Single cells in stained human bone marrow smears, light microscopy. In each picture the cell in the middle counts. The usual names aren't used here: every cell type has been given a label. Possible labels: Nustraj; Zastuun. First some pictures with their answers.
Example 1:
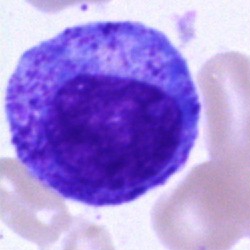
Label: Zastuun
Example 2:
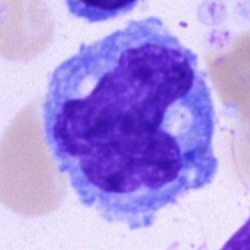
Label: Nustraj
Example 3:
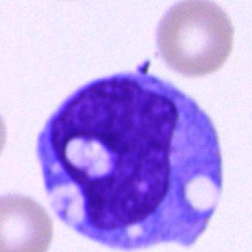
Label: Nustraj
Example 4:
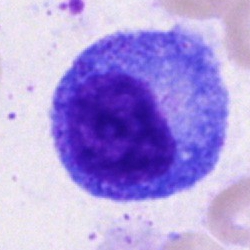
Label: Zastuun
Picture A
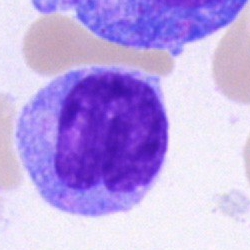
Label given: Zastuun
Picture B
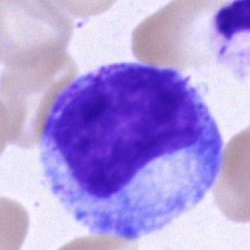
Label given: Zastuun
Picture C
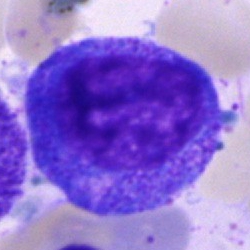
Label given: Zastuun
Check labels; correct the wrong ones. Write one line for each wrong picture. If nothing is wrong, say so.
A: change Zastuun to Nustraj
